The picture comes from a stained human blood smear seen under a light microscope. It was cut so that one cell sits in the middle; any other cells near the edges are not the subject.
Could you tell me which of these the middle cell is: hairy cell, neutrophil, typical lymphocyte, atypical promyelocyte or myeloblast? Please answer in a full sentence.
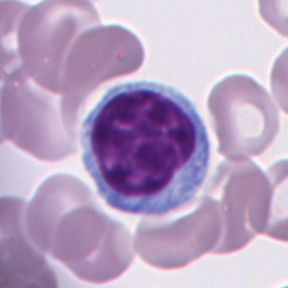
Centred in the crop is a typical lymphocyte.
